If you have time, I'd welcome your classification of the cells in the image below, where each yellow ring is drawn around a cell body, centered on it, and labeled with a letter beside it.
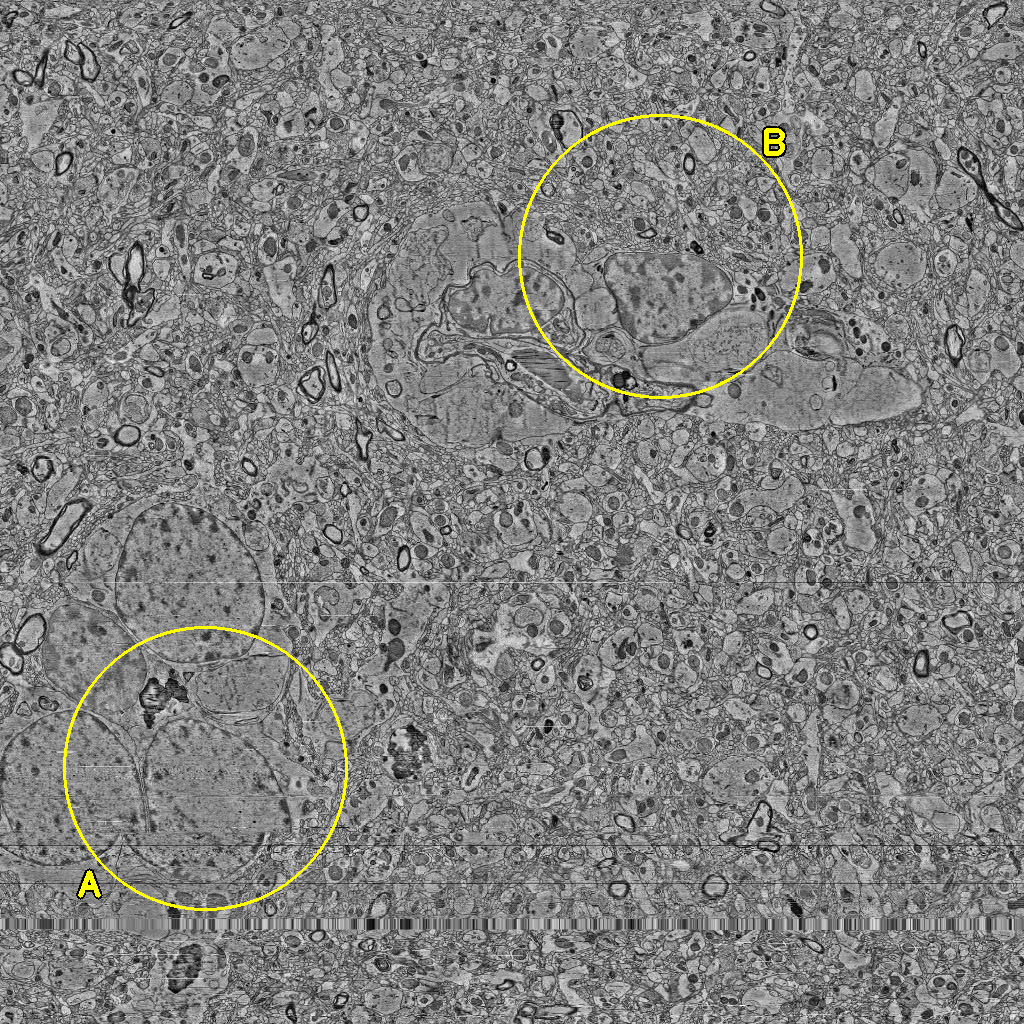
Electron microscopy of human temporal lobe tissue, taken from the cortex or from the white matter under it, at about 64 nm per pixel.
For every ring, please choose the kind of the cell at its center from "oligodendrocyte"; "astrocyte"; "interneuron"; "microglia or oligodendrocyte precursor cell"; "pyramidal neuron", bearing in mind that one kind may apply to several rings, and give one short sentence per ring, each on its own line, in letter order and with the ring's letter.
At the center of ring A is an astrocyte.
At the center of ring B is a microglial cell or oligodendrocyte precursor cell.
